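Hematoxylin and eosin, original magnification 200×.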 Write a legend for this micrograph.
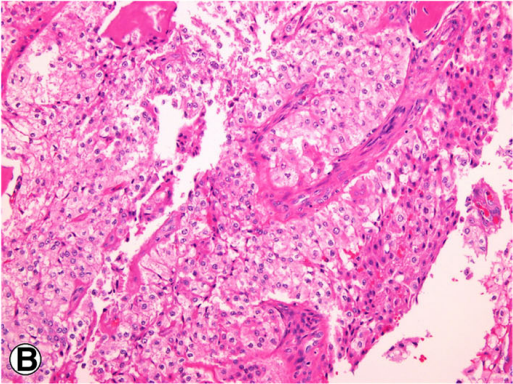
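Nests of pale clear cells are separated by bands of dense pink hyalinized fibrous tissue containing spindle nuclei. Some cells, especially near the edges of the nests, are smaller and have pinker cytoplasm. These are clear tumour cells in nests with hyalinized fibrocellular septa and smaller eosinophilic cells.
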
